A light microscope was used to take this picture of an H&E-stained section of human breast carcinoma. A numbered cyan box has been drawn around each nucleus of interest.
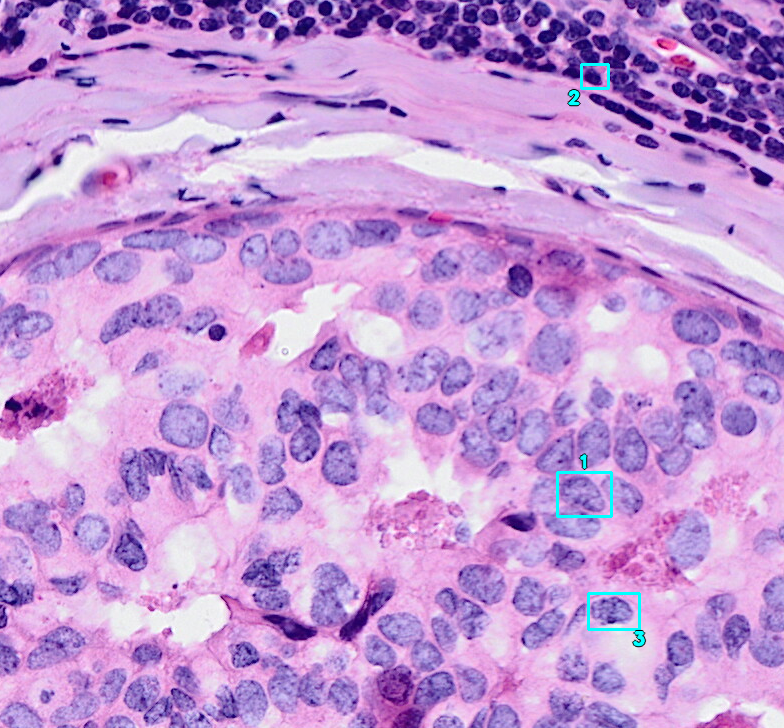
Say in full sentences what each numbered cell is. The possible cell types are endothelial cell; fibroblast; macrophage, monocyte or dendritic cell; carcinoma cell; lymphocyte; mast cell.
Cell 1 is a carcinoma cell, cell 2 is a lymphocyte and cell 3 is a carcinoma cell.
